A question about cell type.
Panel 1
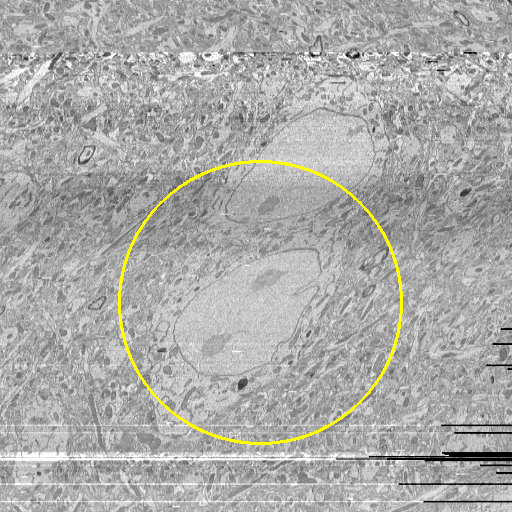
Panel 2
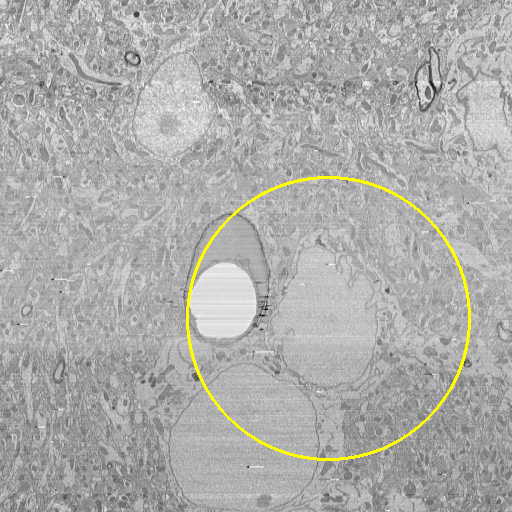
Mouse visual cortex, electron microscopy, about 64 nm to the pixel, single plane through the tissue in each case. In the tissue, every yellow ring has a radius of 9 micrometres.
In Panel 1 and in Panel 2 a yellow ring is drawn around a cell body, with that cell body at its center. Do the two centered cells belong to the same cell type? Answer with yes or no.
no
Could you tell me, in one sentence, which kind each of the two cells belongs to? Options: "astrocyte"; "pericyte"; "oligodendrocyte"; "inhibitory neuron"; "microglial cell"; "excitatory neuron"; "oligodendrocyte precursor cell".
At the centre of the first ring sits an excitatory neuron, and at the centre of the second sits an inhibitory neuron.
